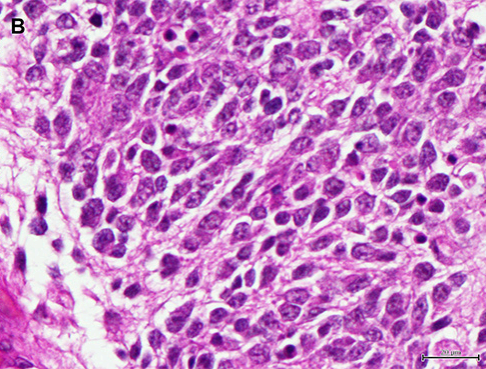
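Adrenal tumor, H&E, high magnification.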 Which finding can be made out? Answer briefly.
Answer: The cell limits are ill-defined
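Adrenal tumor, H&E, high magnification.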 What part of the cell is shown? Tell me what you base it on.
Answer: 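Stippled chromatin distribution. Nuclei show finely speckled purple chromatin. No large prominent nucleoli stand out in most nuclei.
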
